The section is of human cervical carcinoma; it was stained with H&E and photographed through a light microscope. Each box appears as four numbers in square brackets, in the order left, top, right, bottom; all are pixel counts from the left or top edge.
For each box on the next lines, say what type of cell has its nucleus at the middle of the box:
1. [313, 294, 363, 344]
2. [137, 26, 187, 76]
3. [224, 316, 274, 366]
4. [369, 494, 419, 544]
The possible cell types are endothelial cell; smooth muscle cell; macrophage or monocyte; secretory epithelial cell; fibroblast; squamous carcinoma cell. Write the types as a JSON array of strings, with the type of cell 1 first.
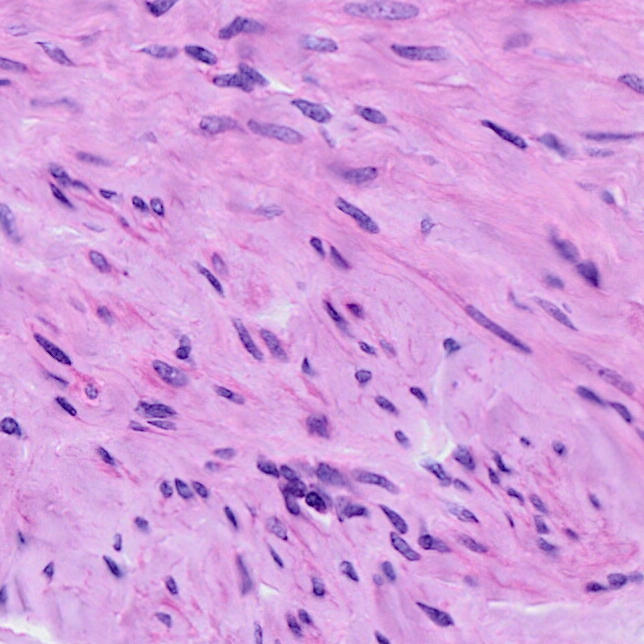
["fibroblast", "fibroblast", "smooth muscle cell", "fibroblast"]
